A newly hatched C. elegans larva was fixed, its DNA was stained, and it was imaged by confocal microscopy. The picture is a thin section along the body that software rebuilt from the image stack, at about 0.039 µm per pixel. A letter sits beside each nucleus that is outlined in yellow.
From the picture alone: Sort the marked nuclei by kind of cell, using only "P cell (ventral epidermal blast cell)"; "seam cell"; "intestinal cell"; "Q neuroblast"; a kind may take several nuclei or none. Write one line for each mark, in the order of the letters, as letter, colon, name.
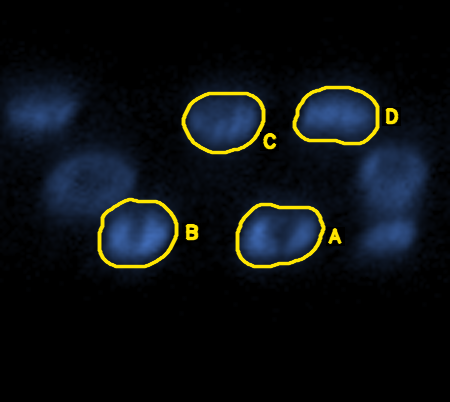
A: seam cell
B: Q neuroblast
C: seam cell
D: P cell (ventral epidermal blast cell)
